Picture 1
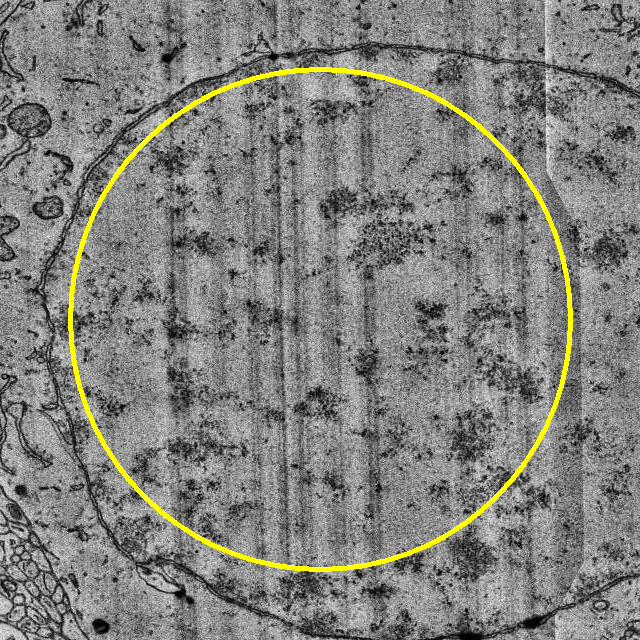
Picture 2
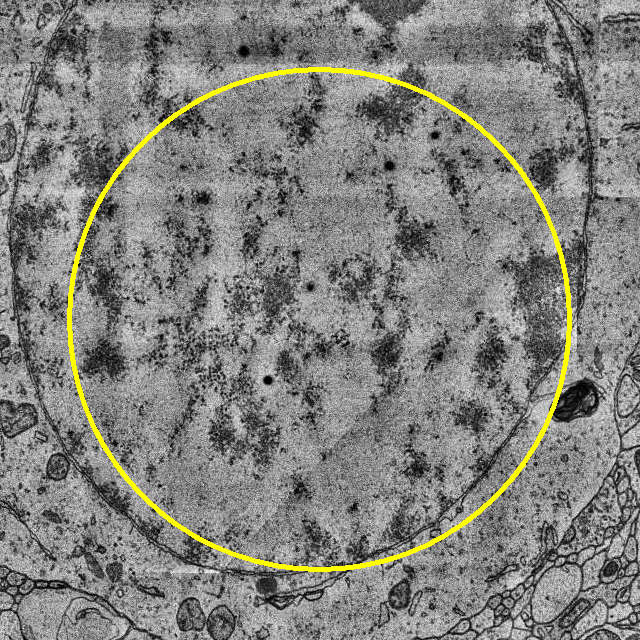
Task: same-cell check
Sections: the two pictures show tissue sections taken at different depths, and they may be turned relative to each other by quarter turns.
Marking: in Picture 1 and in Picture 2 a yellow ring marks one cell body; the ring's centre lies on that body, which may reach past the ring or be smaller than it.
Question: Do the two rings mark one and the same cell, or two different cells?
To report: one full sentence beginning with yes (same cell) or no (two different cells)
No, the two rings are drawn around two distinct cells.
